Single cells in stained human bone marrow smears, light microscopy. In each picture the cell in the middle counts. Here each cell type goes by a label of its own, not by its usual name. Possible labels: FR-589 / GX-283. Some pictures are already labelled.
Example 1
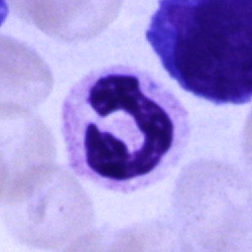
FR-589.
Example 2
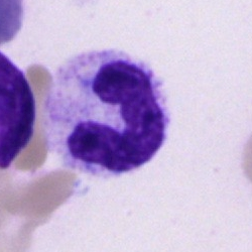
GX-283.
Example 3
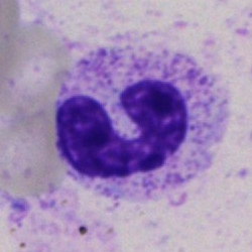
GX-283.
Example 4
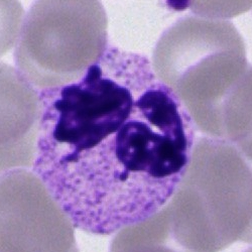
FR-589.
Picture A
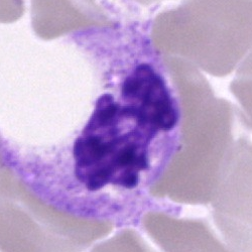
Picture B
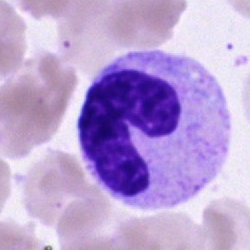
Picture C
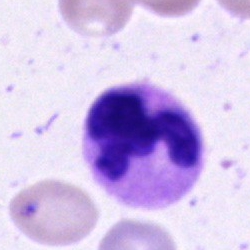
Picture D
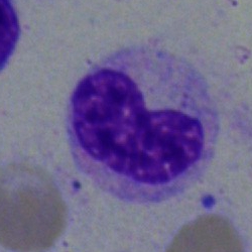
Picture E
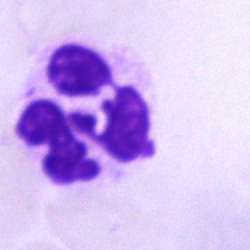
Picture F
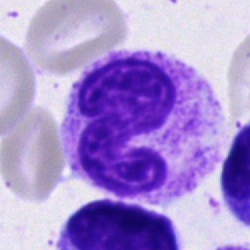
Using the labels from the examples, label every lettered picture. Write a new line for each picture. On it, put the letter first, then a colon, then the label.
A: FR-589.
B: GX-283.
C: FR-589.
D: GX-283.
E: FR-589.
F: GX-283.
